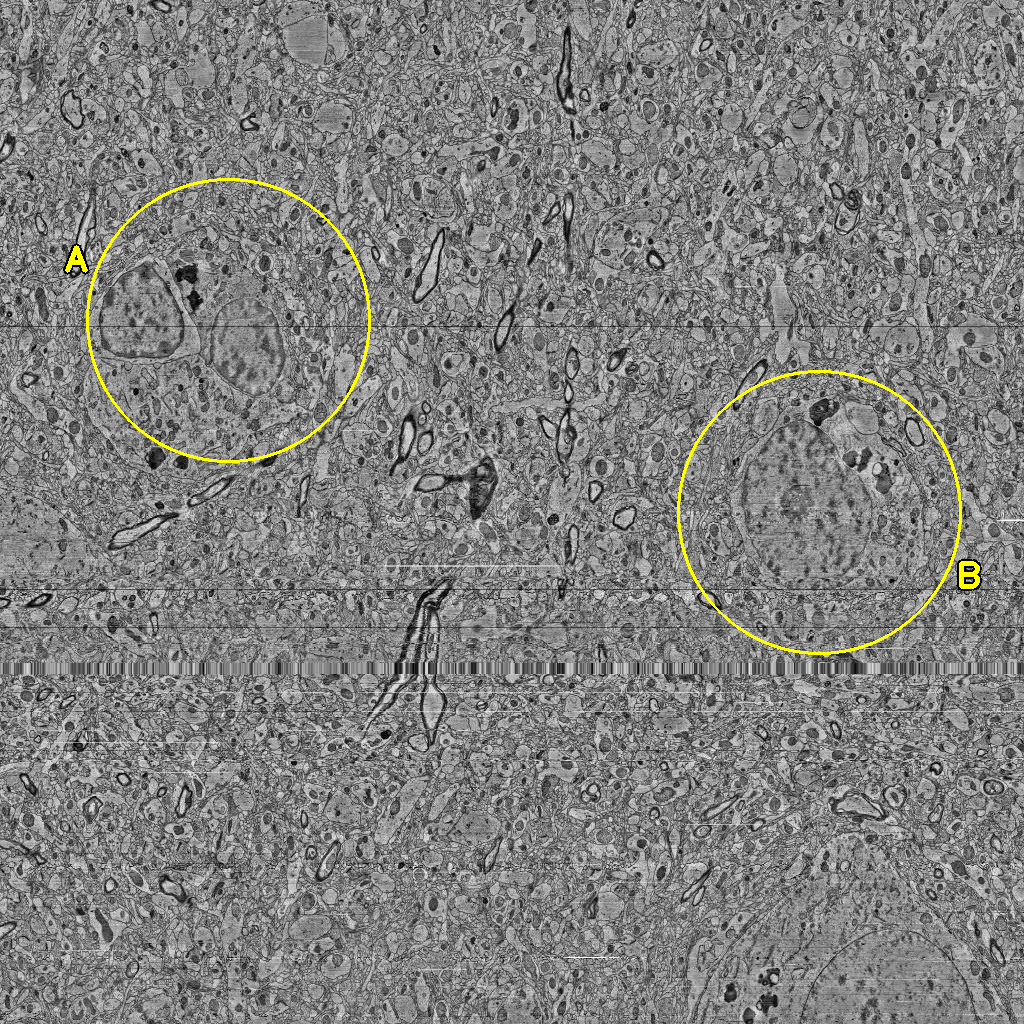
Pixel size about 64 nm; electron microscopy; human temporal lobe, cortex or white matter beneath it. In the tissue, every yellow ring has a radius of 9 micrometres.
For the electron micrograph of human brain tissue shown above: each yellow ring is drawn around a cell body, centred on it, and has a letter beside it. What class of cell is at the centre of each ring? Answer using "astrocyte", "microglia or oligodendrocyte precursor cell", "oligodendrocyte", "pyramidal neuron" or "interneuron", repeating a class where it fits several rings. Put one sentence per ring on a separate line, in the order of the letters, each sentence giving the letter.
At ring A, the central cell is an oligodendrocyte.
At ring B, the central cell is an interneuron.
